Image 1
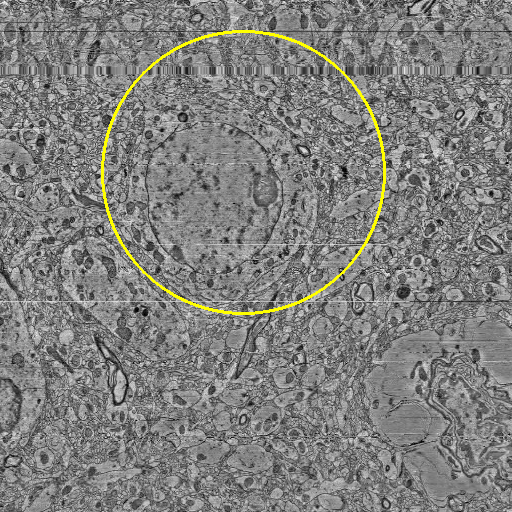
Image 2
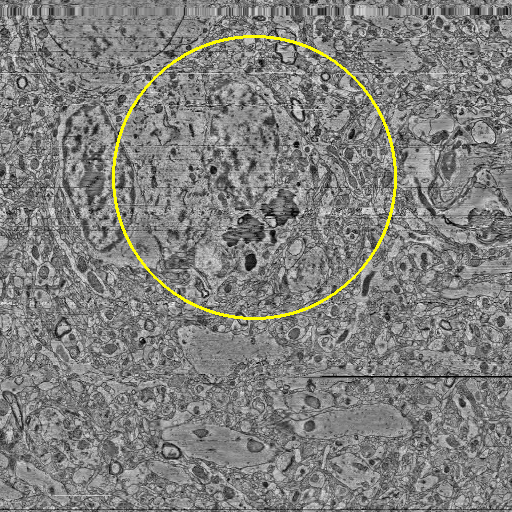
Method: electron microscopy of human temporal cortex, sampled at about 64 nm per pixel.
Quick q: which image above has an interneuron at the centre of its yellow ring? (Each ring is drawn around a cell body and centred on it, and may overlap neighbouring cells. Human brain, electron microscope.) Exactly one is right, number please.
2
